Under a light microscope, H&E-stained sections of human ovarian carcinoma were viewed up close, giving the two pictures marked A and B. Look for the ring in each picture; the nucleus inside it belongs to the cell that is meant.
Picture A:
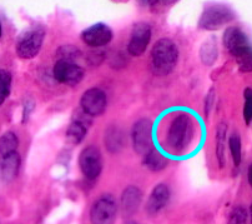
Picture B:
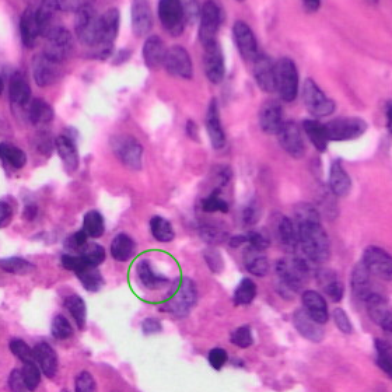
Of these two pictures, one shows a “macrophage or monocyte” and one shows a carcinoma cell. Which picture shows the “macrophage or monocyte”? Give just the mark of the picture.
B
